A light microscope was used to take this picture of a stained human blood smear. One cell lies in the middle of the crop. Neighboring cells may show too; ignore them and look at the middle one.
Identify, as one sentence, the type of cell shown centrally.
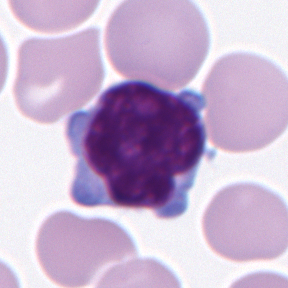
The middle cell in this particular crop is a typical lymphocyte.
